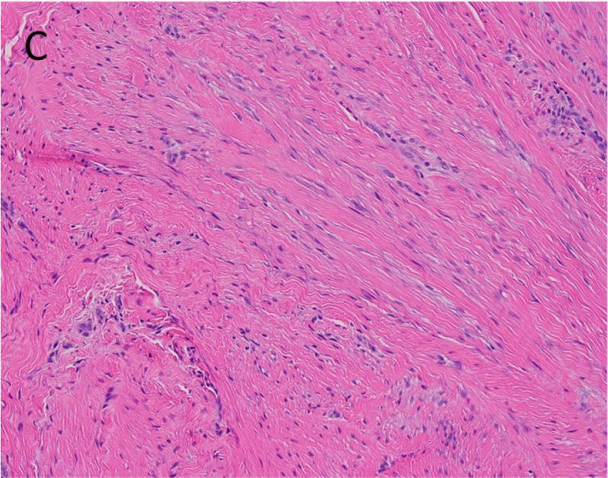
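This is a bland spindle cell and fibrous lesion: elongated cells with slender, tapering purple nuclei lie in pink fibrous stroma. The cells run in long parallel streams that sweep diagonally across the field and curve around one another. The stroma between them is densely eosinophilic and wavy. A few small clusters of more closely packed nuclei, likely small vessels, lie between the bundles. The nuclei are uniform and small, without marked enlargement or irregularity.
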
